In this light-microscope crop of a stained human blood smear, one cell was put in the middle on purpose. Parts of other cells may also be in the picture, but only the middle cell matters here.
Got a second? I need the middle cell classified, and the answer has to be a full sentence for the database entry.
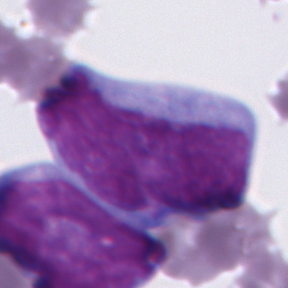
The single cell at the center of the crop is a myeloblast.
